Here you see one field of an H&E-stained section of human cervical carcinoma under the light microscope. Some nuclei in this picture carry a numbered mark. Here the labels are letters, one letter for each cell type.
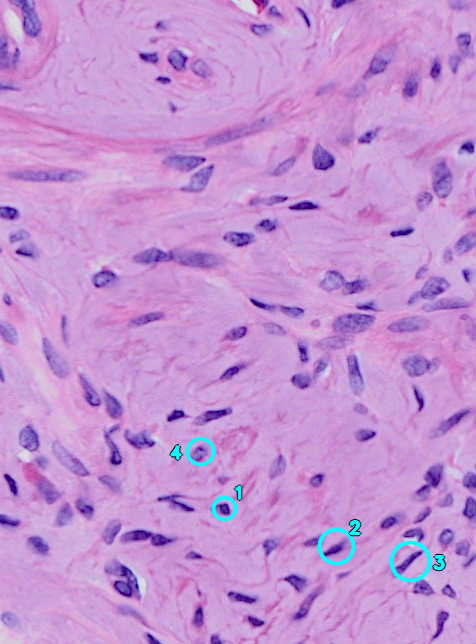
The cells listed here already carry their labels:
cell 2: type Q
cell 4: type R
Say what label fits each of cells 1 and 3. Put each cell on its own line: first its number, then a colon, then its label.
1: type Q
3: type Q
